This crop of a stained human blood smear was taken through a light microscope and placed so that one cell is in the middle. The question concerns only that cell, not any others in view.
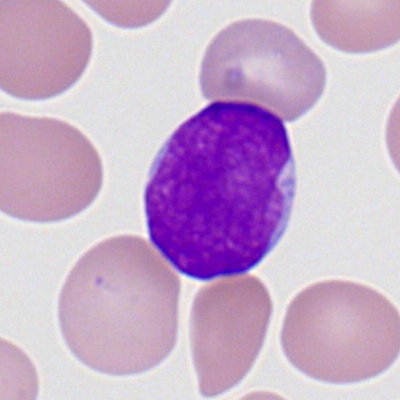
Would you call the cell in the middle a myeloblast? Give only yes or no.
yes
